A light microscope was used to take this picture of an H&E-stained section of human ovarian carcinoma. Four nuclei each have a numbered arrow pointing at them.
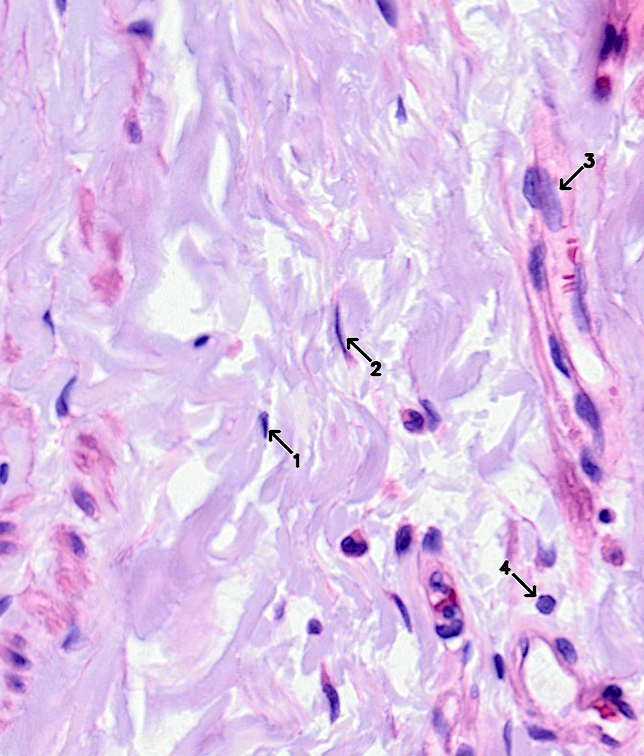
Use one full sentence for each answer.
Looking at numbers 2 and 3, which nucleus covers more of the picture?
Of the two, number 3 is bigger and takes up about 2.5 times the area of number 2.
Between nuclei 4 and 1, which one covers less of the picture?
Nucleus 1 covers less area, with nucleus 4 about 2 times as large.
